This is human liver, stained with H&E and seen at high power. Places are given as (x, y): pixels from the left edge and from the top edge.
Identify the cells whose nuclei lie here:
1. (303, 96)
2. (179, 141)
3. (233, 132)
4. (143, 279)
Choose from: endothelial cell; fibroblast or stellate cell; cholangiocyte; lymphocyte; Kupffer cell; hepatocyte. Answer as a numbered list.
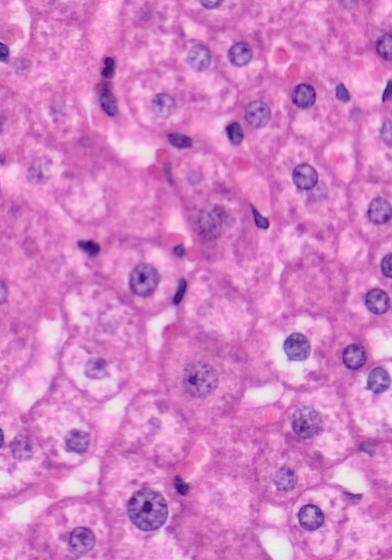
1. hepatocyte
2. fibroblast or stellate cell
3. Kupffer cell
4. hepatocyte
